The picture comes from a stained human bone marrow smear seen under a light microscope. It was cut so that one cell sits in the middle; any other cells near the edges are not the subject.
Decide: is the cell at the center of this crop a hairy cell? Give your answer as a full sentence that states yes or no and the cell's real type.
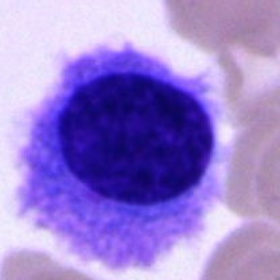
Yes, the central cell is to be recorded as a hairy cell.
